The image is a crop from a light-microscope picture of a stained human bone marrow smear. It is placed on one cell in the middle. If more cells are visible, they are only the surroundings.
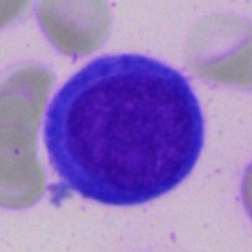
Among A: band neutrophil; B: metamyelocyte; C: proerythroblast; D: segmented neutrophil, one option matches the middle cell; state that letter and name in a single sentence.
Option C is correct in naming the middle cell a proerythroblast.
